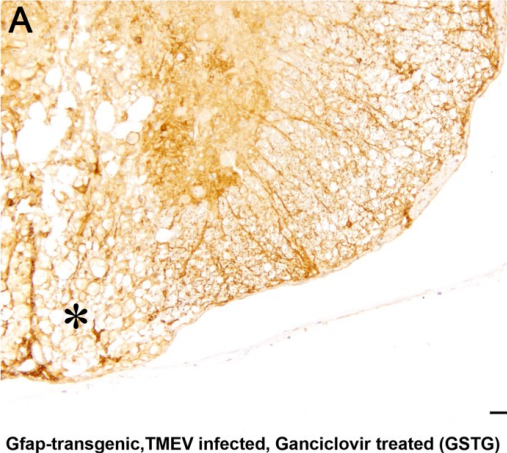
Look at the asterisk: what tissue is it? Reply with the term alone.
Ventral spinal cord white matter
